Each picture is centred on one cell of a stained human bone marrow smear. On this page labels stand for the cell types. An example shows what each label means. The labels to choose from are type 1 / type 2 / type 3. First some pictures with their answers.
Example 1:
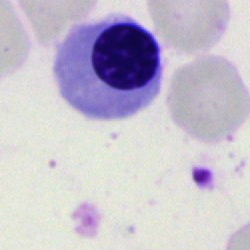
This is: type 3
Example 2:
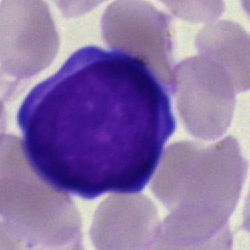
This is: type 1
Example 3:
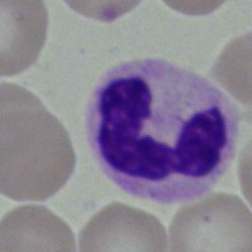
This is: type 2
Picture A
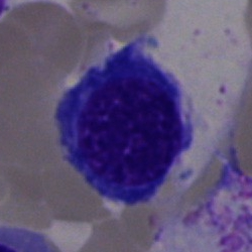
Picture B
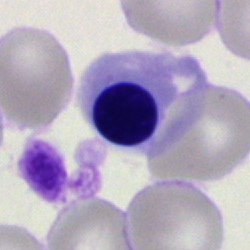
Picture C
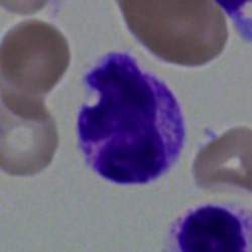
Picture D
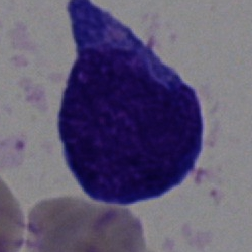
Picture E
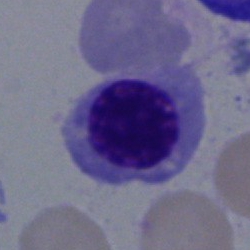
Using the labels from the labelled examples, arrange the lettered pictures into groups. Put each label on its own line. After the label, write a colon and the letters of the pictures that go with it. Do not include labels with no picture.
type 1: D
type 2: C
type 3: A, B, E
